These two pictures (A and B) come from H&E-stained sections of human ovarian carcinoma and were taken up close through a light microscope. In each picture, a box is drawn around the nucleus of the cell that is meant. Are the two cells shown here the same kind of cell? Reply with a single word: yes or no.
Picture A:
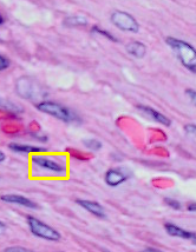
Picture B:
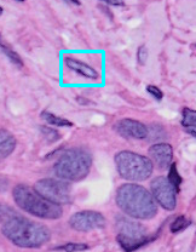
yes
